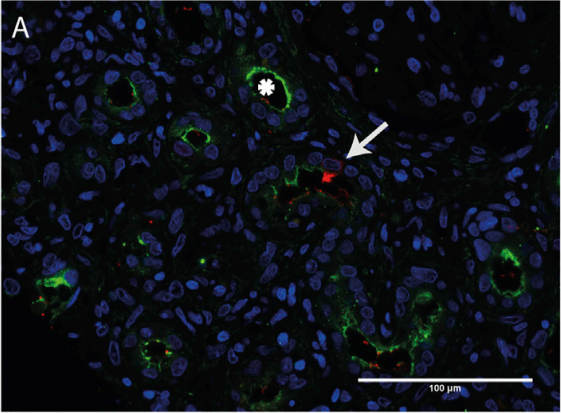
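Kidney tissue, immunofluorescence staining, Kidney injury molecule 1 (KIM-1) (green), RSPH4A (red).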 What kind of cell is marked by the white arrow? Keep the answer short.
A: multiciliated cell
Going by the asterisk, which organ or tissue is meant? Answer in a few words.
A: Proximal tubule.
